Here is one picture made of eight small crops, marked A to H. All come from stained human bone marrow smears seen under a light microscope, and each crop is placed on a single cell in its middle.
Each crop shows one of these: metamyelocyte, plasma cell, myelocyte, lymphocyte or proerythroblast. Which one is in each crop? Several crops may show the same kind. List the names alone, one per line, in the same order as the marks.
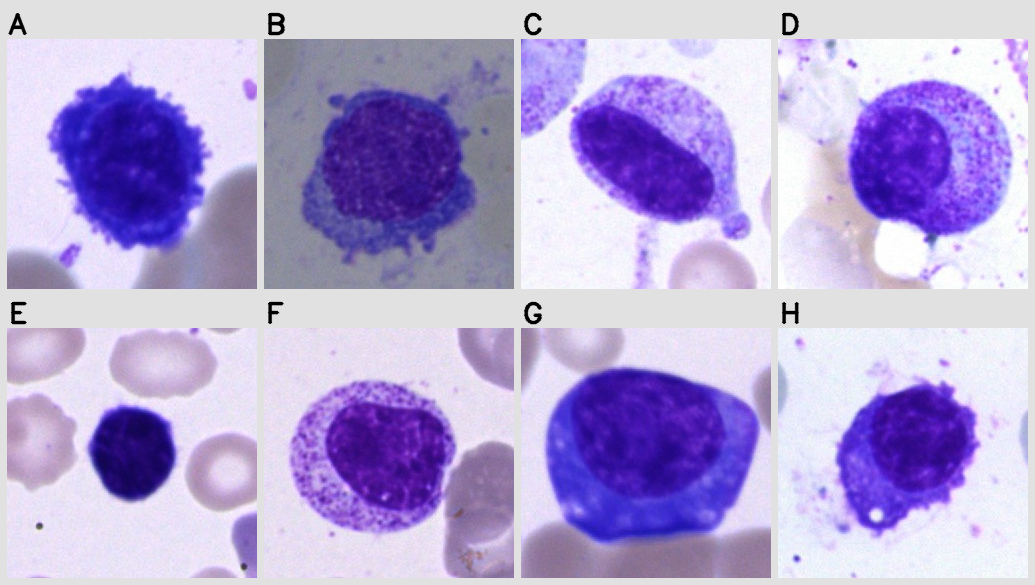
plasma cell
plasma cell
metamyelocyte
myelocyte
lymphocyte
myelocyte
plasma cell
plasma cell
